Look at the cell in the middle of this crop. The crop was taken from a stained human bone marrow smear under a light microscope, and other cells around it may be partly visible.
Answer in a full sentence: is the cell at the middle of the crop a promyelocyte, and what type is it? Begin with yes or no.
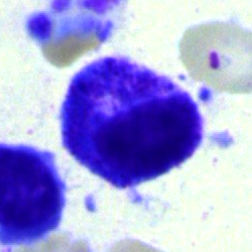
Yes, the cell positioned at the centre of the crop is a promyelocyte.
